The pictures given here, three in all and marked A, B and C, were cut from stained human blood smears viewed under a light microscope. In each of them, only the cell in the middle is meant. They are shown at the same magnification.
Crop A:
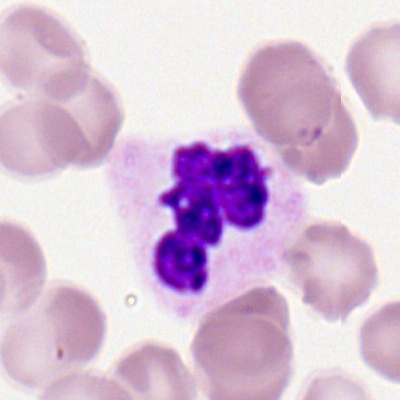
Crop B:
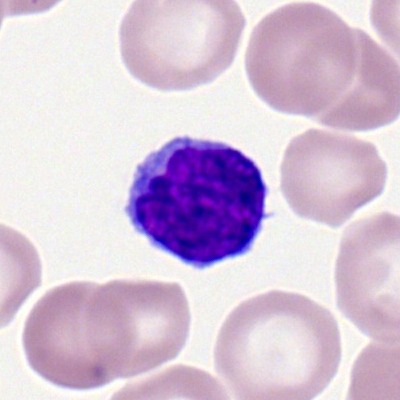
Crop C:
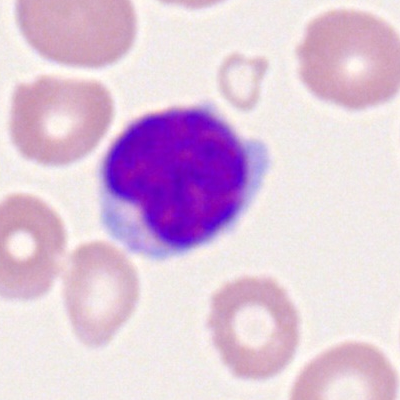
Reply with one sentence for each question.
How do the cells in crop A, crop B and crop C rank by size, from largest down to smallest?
Going down, they run A, C, B.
